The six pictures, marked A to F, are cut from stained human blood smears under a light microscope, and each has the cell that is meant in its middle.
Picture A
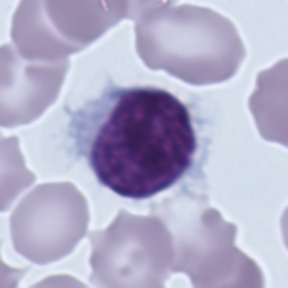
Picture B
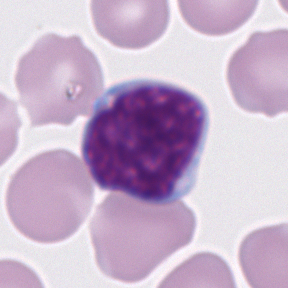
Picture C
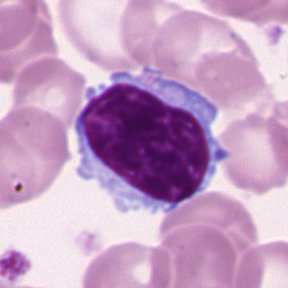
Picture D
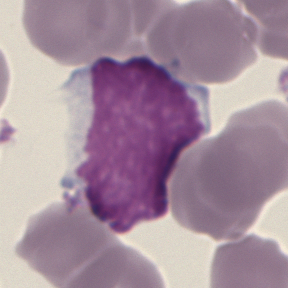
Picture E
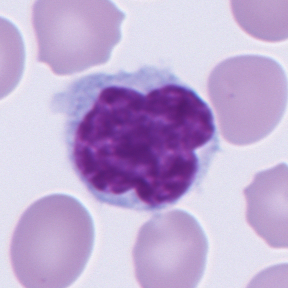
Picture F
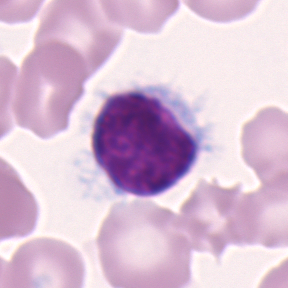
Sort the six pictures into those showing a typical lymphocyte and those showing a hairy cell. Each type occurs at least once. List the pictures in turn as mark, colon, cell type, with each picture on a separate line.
A: hairy cell
B: typical lymphocyte
C: typical lymphocyte
D: typical lymphocyte
E: hairy cell
F: hairy cell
